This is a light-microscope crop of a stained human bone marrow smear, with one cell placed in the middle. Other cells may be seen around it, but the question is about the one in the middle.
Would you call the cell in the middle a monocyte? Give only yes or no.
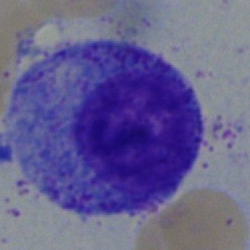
no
